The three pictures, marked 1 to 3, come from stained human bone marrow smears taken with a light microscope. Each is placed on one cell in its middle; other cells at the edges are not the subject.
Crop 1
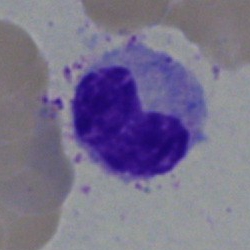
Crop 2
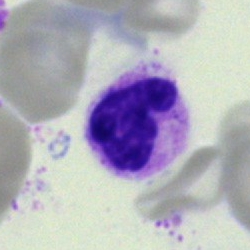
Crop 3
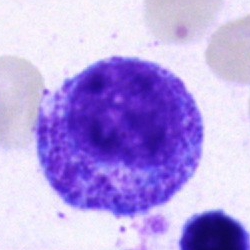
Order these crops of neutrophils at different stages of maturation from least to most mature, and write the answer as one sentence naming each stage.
Along the maturation line, from least to most mature, sit crop 3 (a promyelocyte), crop 1 (a metamyelocyte) and crop 2 (a segmented neutrophil).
